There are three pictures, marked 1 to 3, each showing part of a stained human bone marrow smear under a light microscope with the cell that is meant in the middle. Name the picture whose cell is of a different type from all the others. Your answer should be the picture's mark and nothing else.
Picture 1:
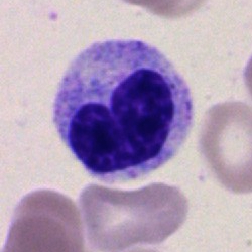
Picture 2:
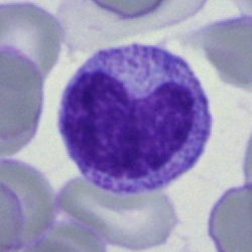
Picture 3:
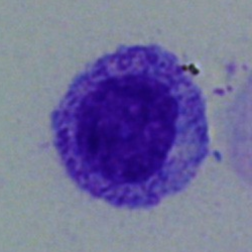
3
